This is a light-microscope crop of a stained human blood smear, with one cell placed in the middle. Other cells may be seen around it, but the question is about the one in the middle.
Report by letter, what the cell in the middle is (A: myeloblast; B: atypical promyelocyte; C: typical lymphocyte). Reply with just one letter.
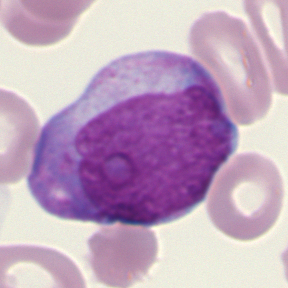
B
